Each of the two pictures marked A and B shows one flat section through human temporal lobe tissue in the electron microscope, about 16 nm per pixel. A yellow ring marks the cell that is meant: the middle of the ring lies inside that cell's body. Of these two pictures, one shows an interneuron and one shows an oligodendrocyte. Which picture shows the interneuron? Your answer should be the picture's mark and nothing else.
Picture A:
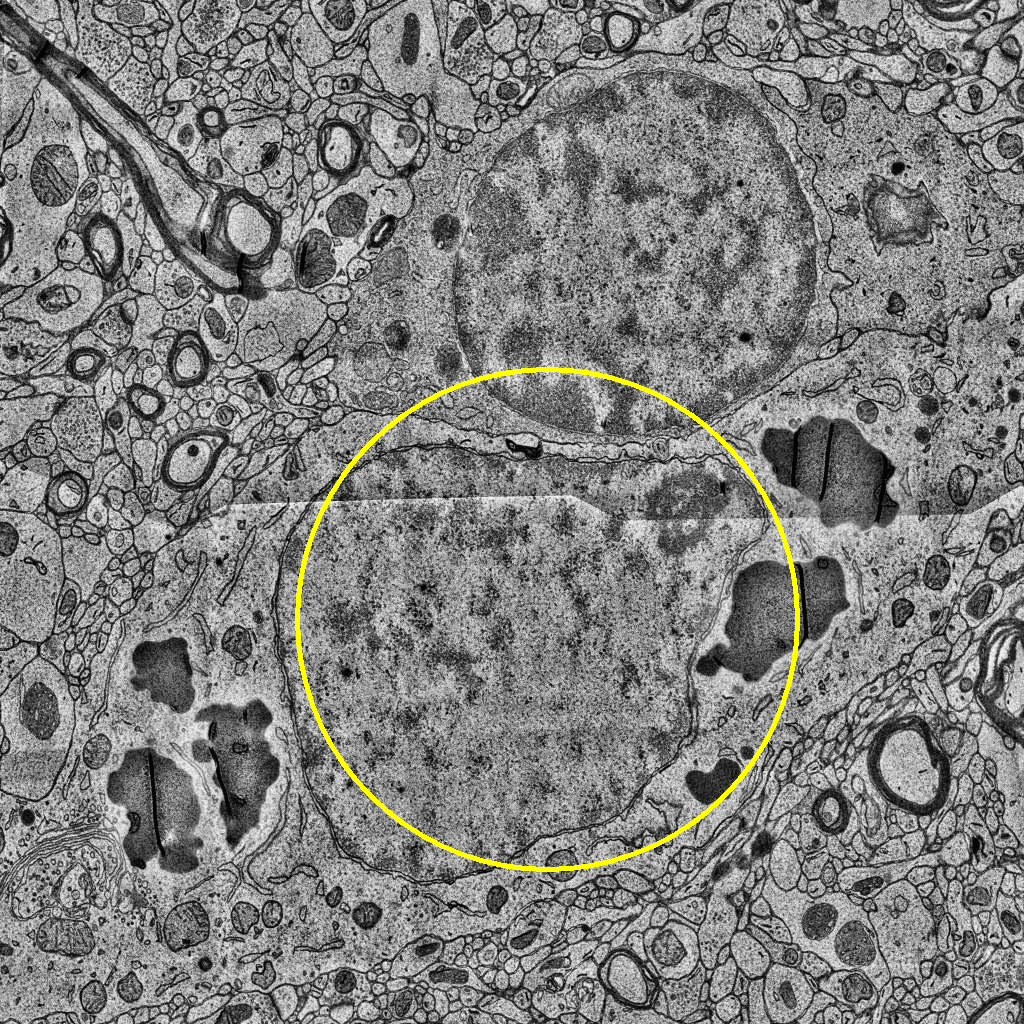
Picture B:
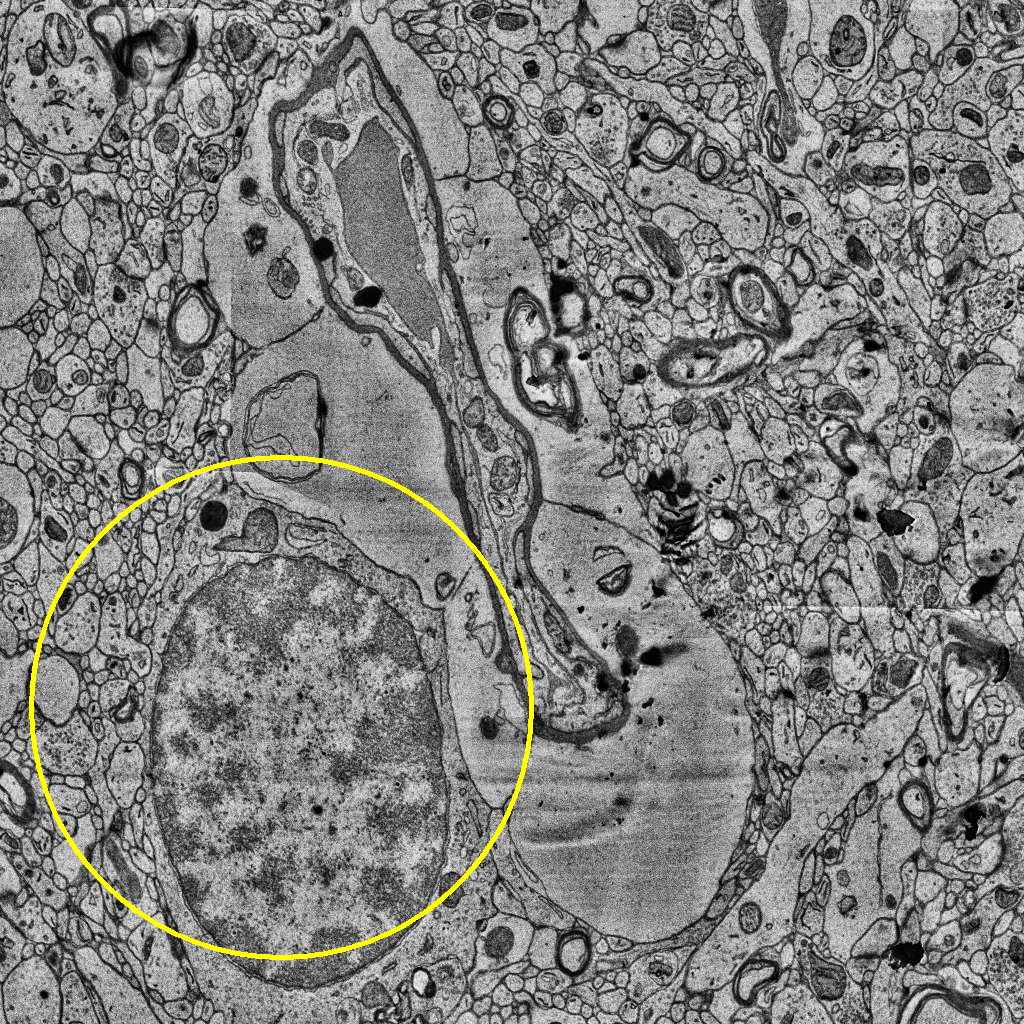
A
